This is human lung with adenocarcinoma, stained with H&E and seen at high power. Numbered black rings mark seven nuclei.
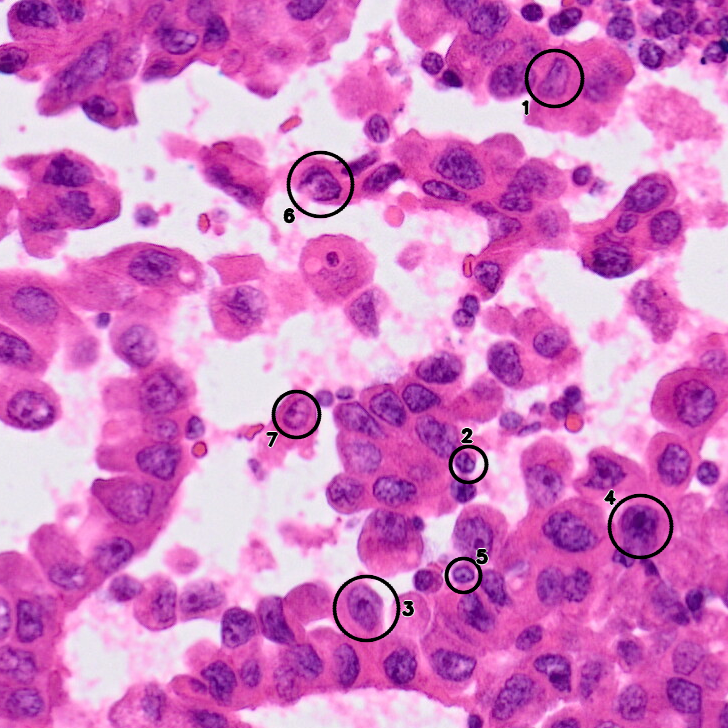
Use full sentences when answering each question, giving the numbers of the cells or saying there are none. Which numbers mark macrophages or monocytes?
Where the numbered cells are concerned, only number 7 is a macrophage or monocyte.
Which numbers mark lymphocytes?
The cells that have been numbered 2 and 5 are lymphocytes.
